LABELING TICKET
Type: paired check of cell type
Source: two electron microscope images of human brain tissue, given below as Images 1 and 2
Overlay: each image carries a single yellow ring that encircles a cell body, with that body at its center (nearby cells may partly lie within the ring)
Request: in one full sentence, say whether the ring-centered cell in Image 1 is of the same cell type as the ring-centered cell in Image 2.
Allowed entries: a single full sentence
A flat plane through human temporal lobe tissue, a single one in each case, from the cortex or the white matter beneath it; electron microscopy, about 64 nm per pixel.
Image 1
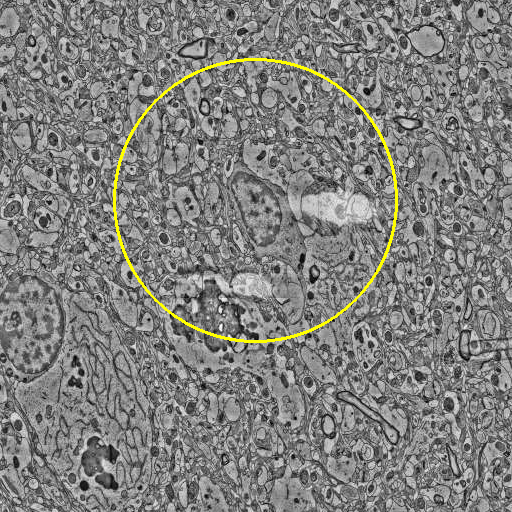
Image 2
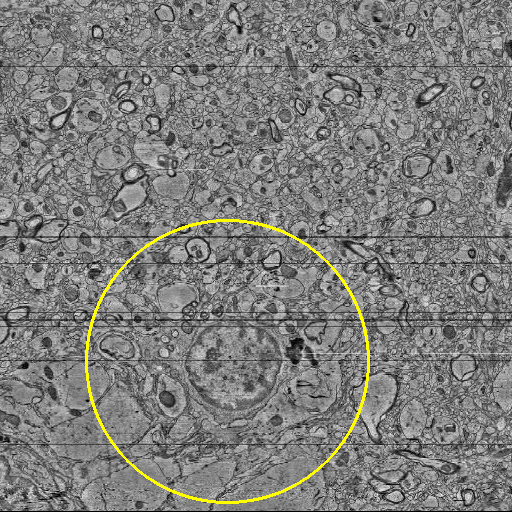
Yes, the cells centered in the rings of Image 1 and Image 2 share one type.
